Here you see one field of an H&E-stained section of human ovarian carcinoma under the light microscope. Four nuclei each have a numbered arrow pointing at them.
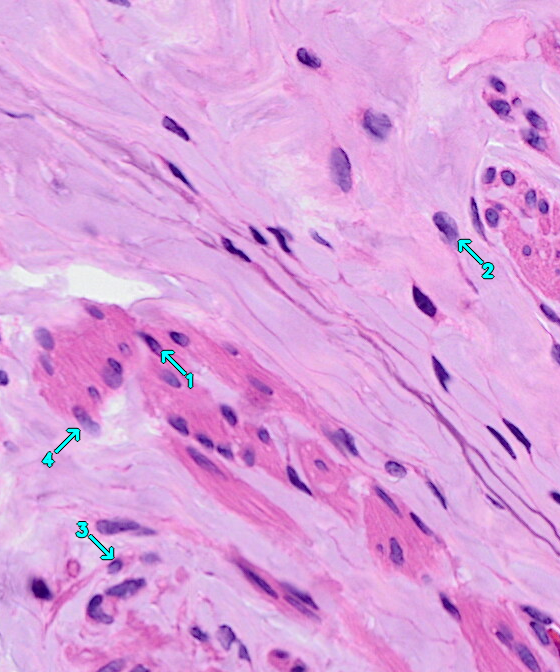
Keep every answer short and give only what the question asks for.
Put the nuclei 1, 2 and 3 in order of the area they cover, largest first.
2, 1, 3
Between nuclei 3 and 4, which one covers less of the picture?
3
